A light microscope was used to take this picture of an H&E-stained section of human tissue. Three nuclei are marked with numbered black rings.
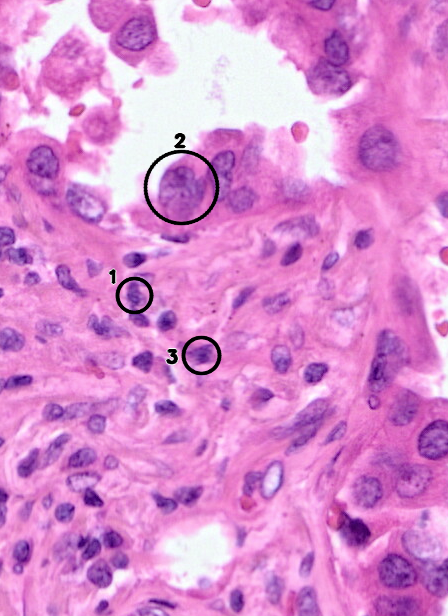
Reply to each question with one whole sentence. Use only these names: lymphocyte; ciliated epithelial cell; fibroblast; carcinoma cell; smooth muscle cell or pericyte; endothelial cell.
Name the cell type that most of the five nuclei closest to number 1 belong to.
Around number 1, most of the five nearest nuclei are those of lymphocytes.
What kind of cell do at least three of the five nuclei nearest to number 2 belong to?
Of the five nuclei nearest to number 2, most belong to carcinoma cells.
